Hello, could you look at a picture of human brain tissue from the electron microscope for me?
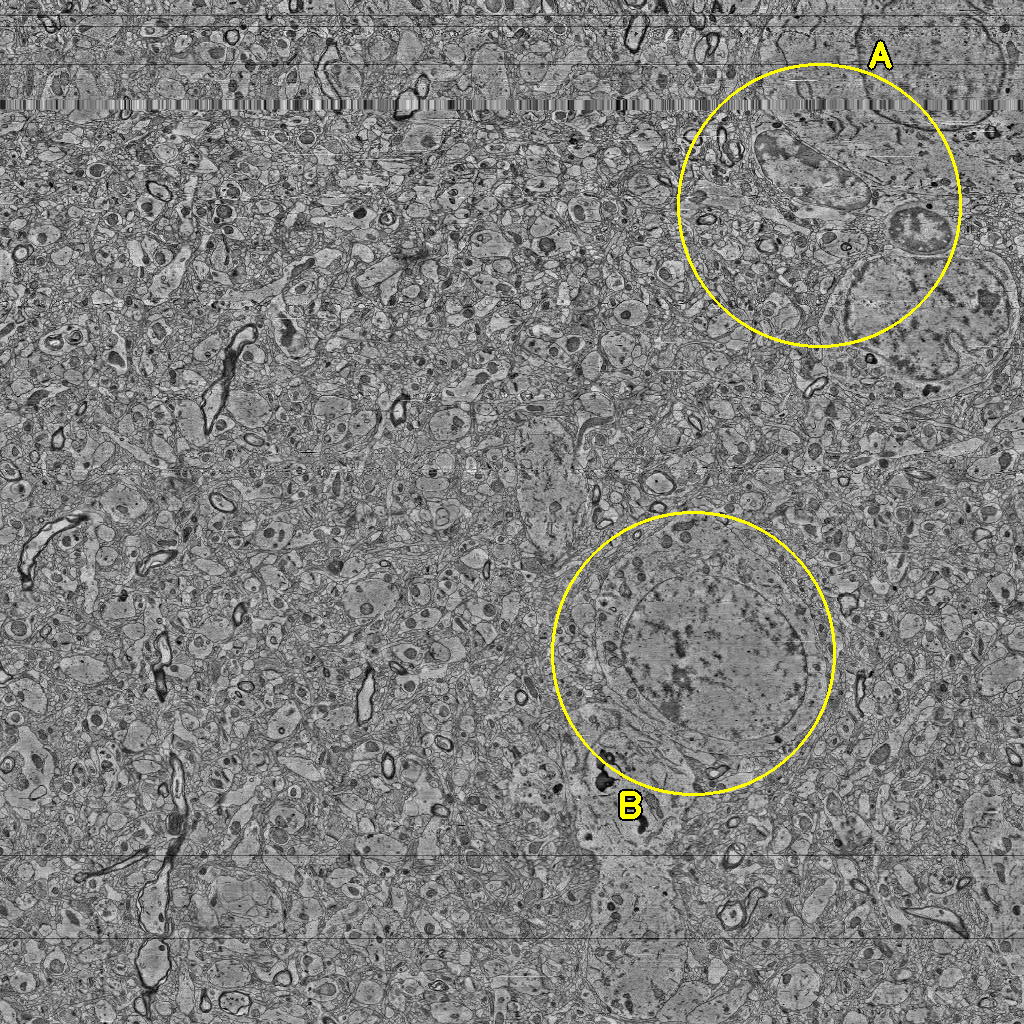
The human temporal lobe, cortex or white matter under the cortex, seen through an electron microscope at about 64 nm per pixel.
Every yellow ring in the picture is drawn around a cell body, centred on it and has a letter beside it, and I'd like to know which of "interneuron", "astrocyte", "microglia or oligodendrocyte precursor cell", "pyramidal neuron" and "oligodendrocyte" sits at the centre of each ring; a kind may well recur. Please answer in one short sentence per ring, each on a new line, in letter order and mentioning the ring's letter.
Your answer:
The cell sitting at the centre of ring A is a microglial cell or oligodendrocyte precursor cell.
The cell sitting at the centre of ring B is a pyramidal neuron.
